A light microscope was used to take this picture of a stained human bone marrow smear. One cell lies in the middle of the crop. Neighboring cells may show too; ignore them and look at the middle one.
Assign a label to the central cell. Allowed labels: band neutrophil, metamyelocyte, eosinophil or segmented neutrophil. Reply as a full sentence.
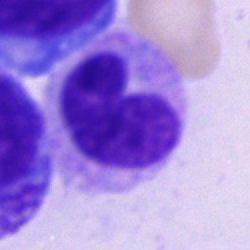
Framed in the middle of the crop is a metamyelocyte.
